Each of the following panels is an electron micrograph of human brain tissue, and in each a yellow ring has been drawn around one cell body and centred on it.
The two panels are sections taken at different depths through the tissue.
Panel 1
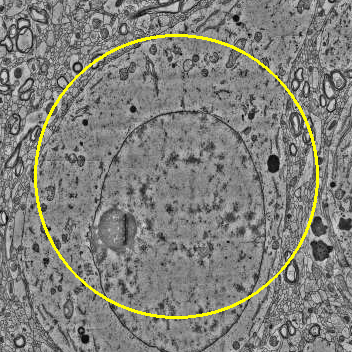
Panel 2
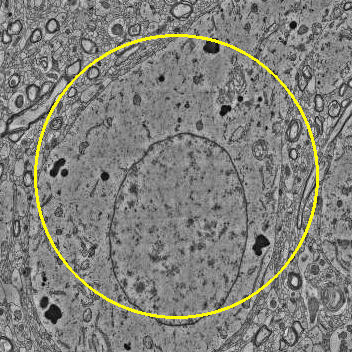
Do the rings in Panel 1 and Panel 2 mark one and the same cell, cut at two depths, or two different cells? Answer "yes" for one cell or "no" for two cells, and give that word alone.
yes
